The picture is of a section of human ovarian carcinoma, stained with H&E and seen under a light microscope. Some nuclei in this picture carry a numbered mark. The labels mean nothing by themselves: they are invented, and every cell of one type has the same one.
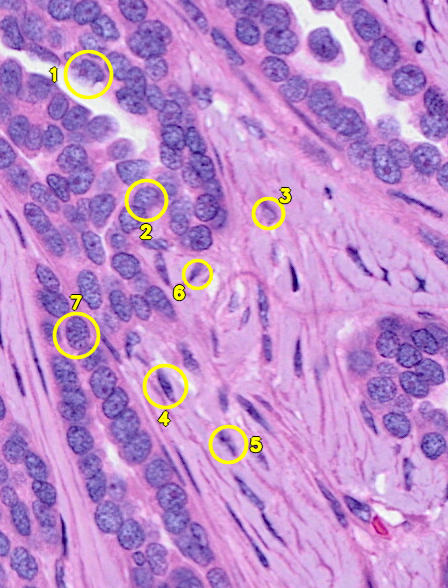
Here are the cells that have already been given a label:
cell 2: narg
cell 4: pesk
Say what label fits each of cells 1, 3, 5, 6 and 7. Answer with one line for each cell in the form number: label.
1: narg
3: pesk
5: pesk
6: pesk
7: narg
